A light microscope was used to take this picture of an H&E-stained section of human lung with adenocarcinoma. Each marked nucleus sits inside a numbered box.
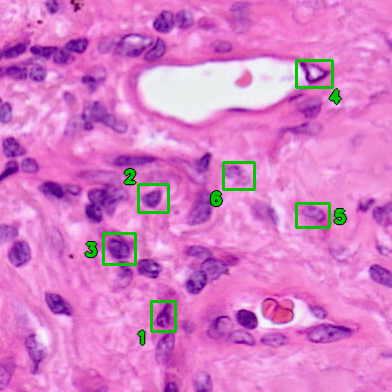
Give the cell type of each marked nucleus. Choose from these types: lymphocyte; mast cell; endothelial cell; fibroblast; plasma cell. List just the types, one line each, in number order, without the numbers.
plasma cell
lymphocyte
plasma cell
endothelial cell
mast cell
fibroblast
